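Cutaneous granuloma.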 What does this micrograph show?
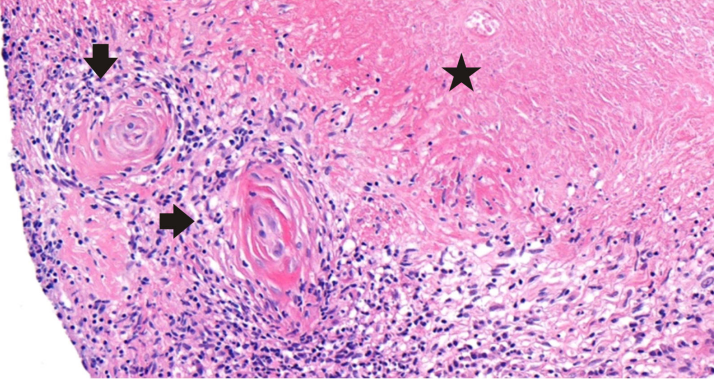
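Dermis of skin showing small vessels beside an area of necrobiosis. On the left, two round vessels have thick, concentrically layered pink walls around narrow lumens, surrounded by a dense rim of small dark inflammatory nuclei. To the right lies a broad zone of pale, homogeneous, smudgy pink material with few preserved nuclei, the necrobiotic collagen. Between and around these, spindle-shaped and oval cells and scattered dark round cells form a cellular infiltrate, which becomes denser toward the lower left of the field.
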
